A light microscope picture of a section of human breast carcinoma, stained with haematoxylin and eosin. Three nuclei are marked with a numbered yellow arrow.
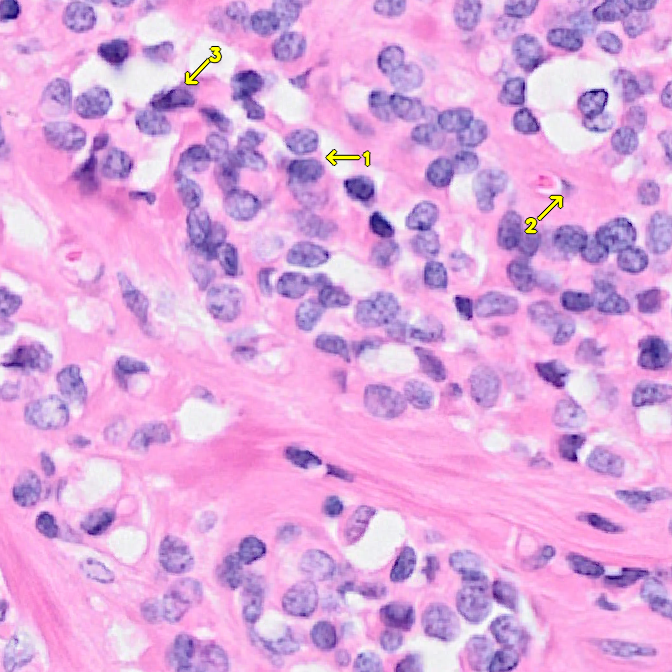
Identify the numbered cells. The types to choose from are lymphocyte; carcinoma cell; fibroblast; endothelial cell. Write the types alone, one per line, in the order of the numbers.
carcinoma cell
endothelial cell
carcinoma cell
